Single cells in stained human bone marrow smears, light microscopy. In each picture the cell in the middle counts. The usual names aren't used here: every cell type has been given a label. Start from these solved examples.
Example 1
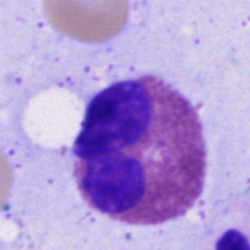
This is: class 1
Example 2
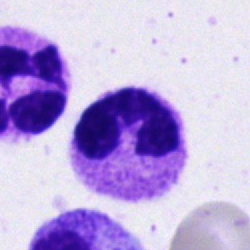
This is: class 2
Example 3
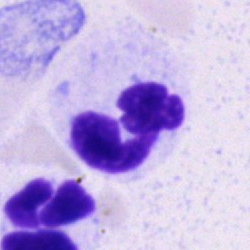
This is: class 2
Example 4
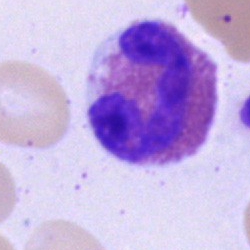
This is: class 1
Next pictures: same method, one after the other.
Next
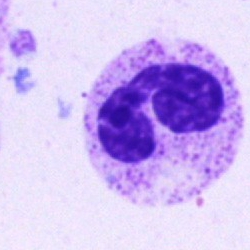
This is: class 2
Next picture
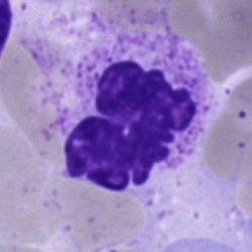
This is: class 2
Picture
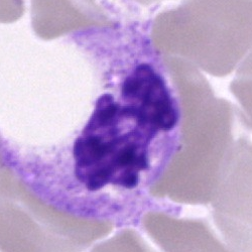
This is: class 2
